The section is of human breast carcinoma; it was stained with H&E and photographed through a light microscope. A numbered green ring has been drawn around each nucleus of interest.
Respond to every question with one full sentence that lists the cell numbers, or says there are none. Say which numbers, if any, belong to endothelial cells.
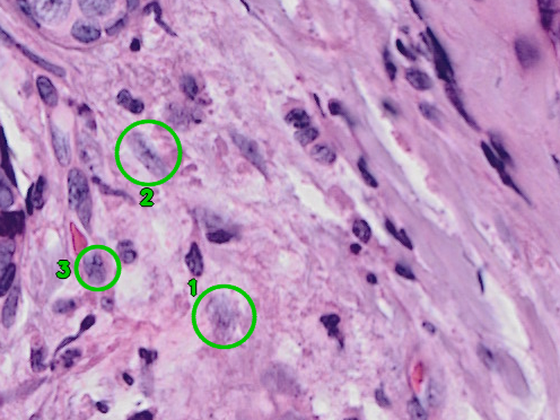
Only at number 3 is there an endothelial cell.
